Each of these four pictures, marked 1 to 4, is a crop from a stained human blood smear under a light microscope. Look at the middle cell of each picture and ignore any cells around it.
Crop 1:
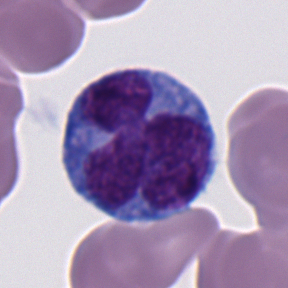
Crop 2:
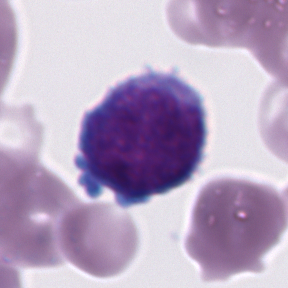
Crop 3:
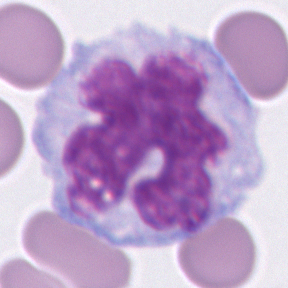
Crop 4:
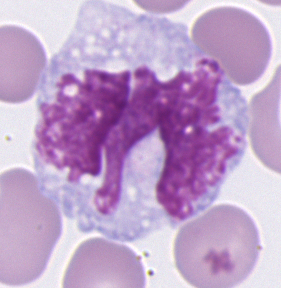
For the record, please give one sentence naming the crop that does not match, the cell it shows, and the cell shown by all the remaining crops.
A different cell type, a myeloblast, occupies crop 2; the other crops show monocytes.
